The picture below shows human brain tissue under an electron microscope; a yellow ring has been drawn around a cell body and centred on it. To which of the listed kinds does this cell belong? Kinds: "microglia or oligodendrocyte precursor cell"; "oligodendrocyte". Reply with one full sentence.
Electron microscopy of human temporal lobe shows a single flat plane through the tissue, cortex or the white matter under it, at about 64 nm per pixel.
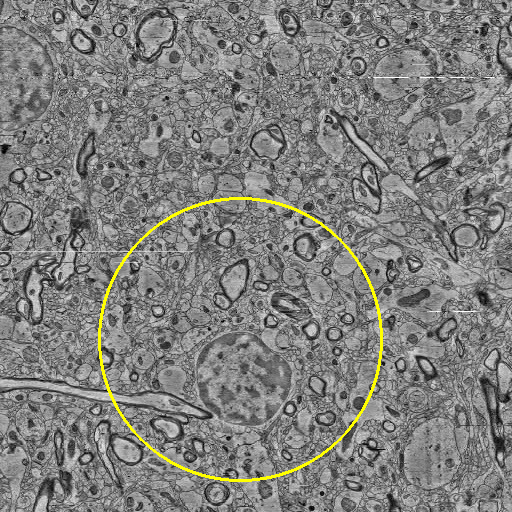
It is a microglial cell or oligodendrocyte precursor cell that the yellow ring in the picture is centred on.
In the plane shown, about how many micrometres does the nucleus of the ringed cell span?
In this plane the nucleus is about 6 micrometres across.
